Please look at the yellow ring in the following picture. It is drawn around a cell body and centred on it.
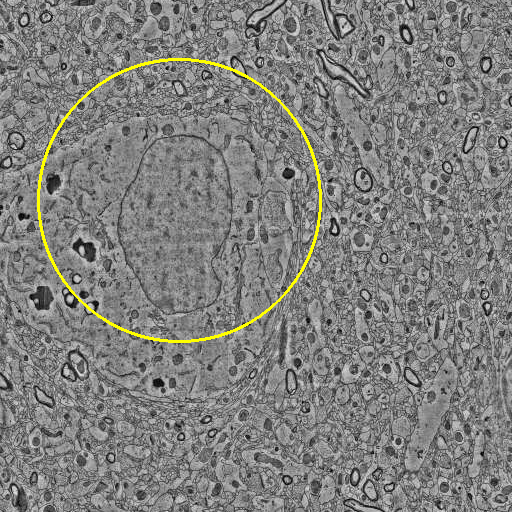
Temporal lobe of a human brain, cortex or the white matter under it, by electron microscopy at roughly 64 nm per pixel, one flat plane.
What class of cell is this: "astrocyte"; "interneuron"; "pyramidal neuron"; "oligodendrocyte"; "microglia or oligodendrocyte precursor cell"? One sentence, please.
The ring surrounds the cell body of a pyramidal neuron.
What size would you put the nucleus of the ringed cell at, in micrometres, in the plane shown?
The nucleus measures about 11 by 7 micrometres, so it is clearly longer than it is wide in this plane.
